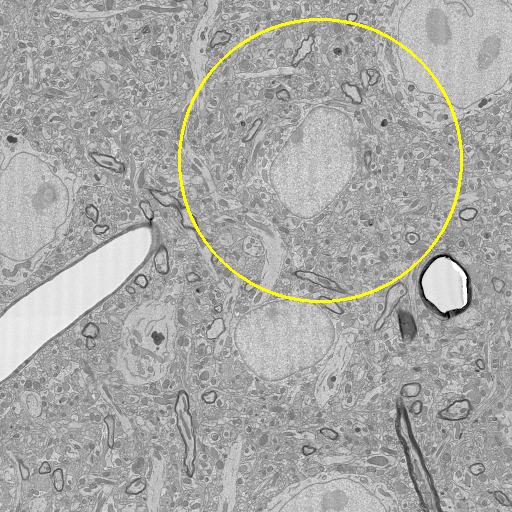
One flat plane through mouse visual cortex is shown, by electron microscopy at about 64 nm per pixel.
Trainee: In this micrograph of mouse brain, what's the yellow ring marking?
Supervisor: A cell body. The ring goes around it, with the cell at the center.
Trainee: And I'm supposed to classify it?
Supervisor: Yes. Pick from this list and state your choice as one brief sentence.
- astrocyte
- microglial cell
The cell at the ring's center is an astrocyte.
